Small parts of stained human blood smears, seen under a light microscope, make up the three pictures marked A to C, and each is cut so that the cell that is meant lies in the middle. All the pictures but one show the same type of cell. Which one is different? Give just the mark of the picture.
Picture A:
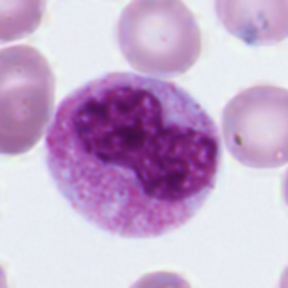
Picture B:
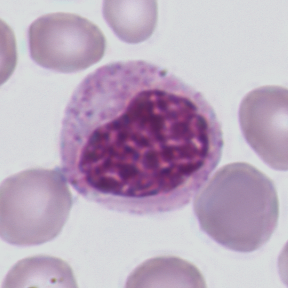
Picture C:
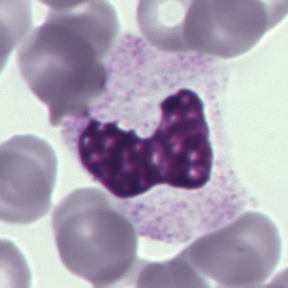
B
